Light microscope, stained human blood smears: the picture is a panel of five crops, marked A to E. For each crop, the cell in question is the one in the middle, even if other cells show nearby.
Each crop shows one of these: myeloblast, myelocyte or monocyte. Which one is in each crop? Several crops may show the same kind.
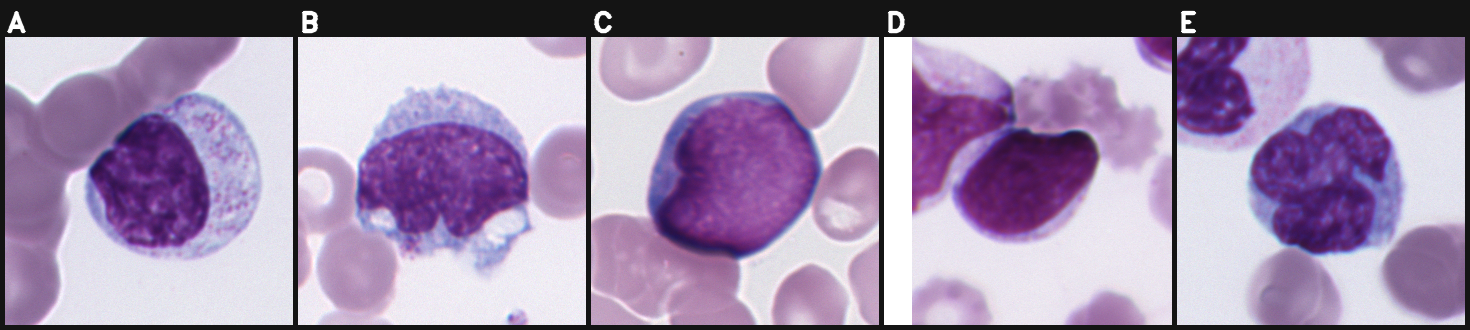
A: myelocyte
B: monocyte
C: myeloblast
D: myeloblast
E: monocyte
